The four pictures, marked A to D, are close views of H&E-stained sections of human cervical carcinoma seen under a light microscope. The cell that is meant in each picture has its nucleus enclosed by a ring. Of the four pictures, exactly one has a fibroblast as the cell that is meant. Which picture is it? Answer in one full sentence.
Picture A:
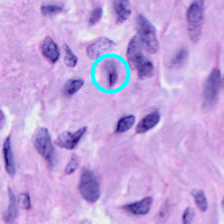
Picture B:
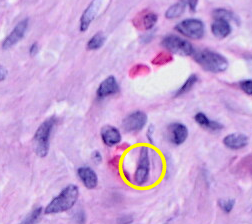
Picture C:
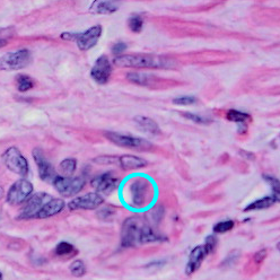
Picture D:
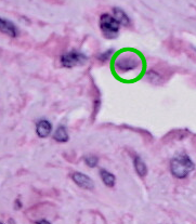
Picture A shows the fibroblast.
